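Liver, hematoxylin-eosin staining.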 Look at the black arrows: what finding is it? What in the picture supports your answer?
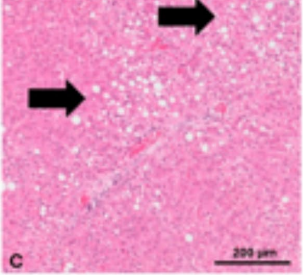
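Numerous round clear vacuoles are scattered through the pink parenchyma. The vacuoles cluster in areas rather than evenly everywhere. That points to this answer: hepatocyte steatosis.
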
